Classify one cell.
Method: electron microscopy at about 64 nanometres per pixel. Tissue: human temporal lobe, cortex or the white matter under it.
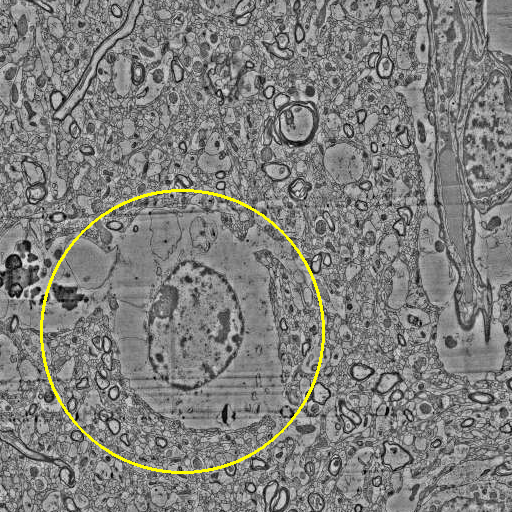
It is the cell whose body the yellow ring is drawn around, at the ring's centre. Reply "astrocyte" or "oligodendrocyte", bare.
astrocyte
